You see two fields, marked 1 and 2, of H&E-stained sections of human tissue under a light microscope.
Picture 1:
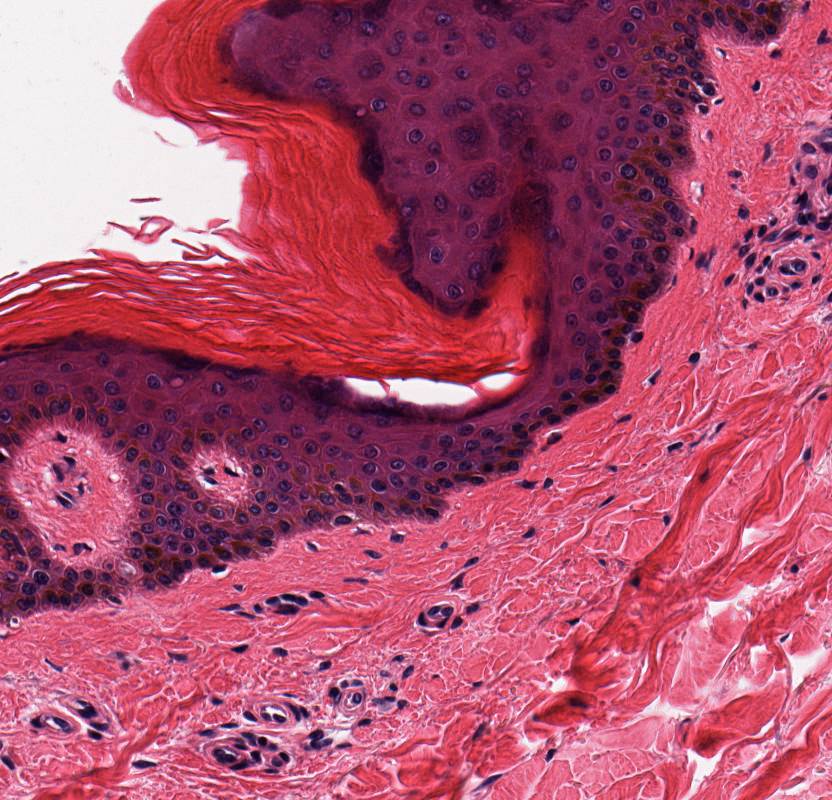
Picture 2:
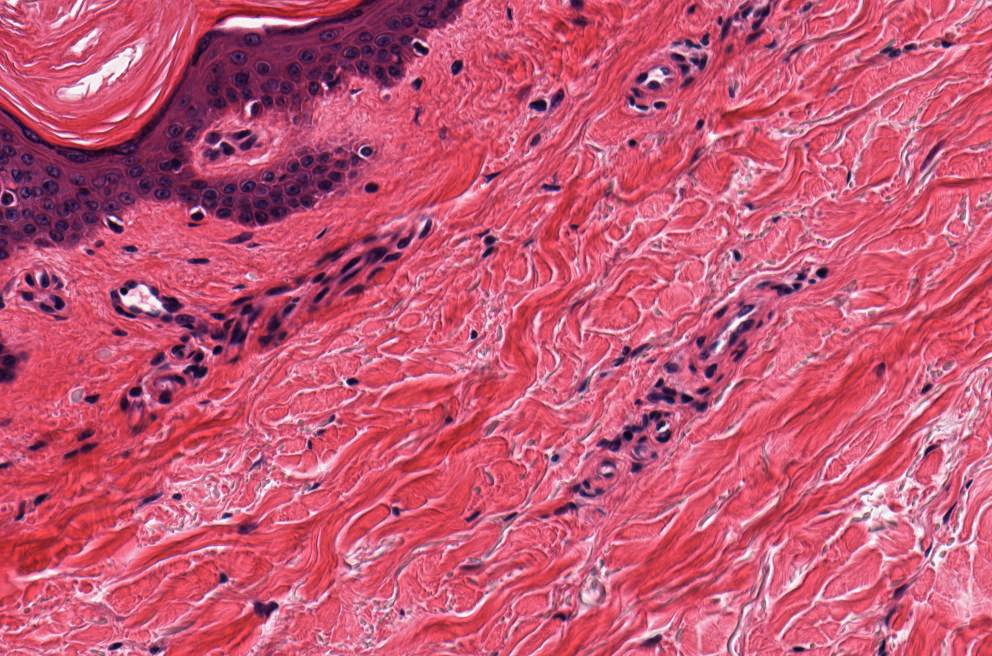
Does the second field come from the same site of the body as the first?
yes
